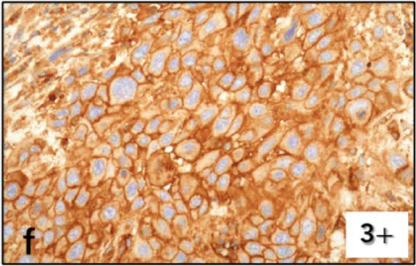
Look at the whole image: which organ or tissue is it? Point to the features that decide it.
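Sheets of closely packed polygonal epithelial cells. Cells have round to oval nuclei with nucleoli. Cell borders are outlined in brown.
Hence: tumour nest.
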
